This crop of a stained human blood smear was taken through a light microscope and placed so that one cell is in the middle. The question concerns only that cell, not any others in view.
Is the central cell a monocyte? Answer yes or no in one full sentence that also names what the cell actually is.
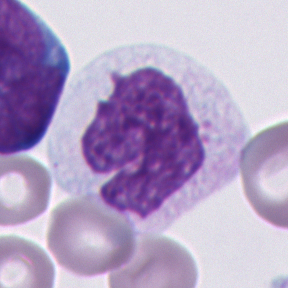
No, the cell centered in the crop is a band neutrophil, not a monocyte.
